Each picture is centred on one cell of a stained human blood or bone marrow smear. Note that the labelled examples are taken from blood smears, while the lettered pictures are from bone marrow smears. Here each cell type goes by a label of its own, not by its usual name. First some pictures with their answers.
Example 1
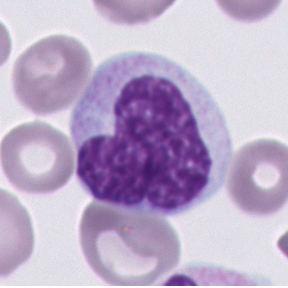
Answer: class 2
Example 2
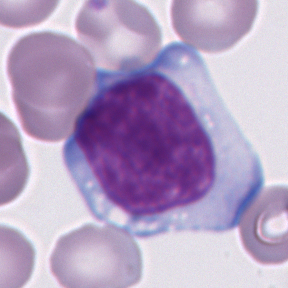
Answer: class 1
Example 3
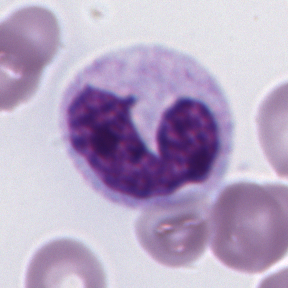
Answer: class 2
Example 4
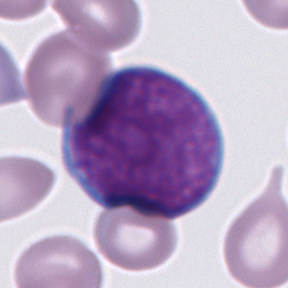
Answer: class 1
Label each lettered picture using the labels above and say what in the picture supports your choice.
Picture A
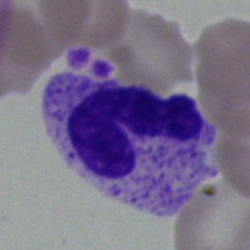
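Label: class 2. The cytoplasm is plentiful and pale lilac, widest toward the lower right.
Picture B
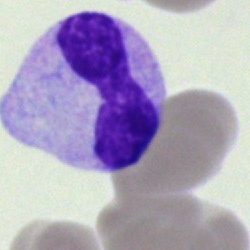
Label: class 2. The cytoplasm is abundant and fills the left part of the cell.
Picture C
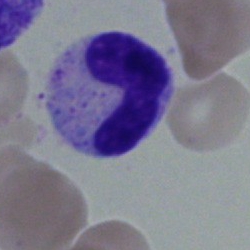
Label: class 2. Fine purple granules are scattered through the cytoplasm.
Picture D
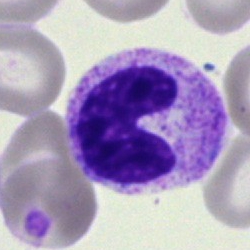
Label: class 2. The chromatin is dark purple and coarsely clumped.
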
